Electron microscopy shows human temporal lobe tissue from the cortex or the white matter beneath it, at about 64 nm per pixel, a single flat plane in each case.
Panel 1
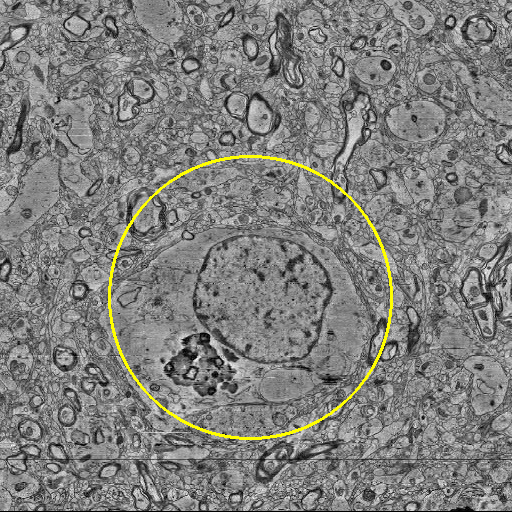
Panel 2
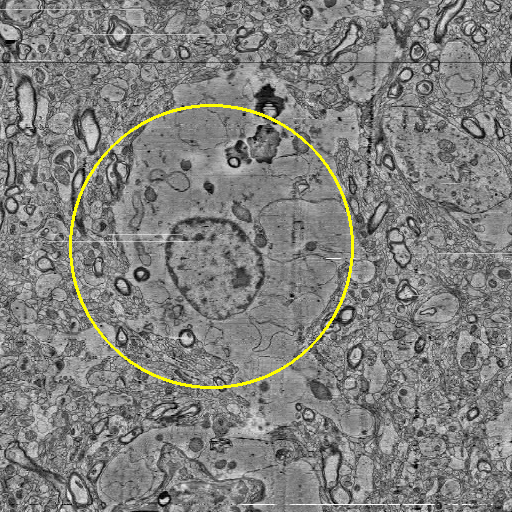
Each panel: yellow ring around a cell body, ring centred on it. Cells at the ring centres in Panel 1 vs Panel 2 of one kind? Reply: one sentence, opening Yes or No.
Yes, Panel 1 and Panel 2 have cells of one kind at the ring centres.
